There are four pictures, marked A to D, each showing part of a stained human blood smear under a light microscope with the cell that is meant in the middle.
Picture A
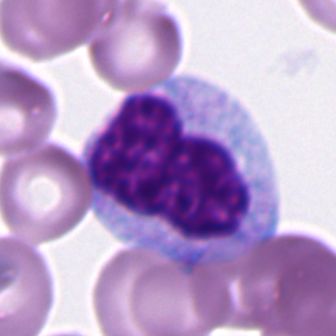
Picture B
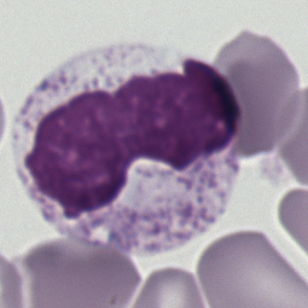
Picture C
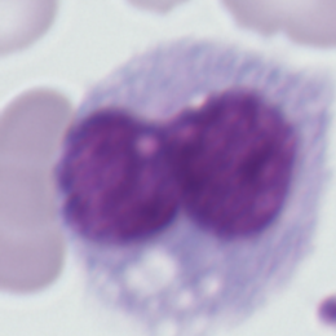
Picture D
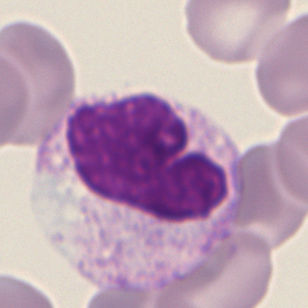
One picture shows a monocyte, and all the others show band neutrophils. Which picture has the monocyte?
C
